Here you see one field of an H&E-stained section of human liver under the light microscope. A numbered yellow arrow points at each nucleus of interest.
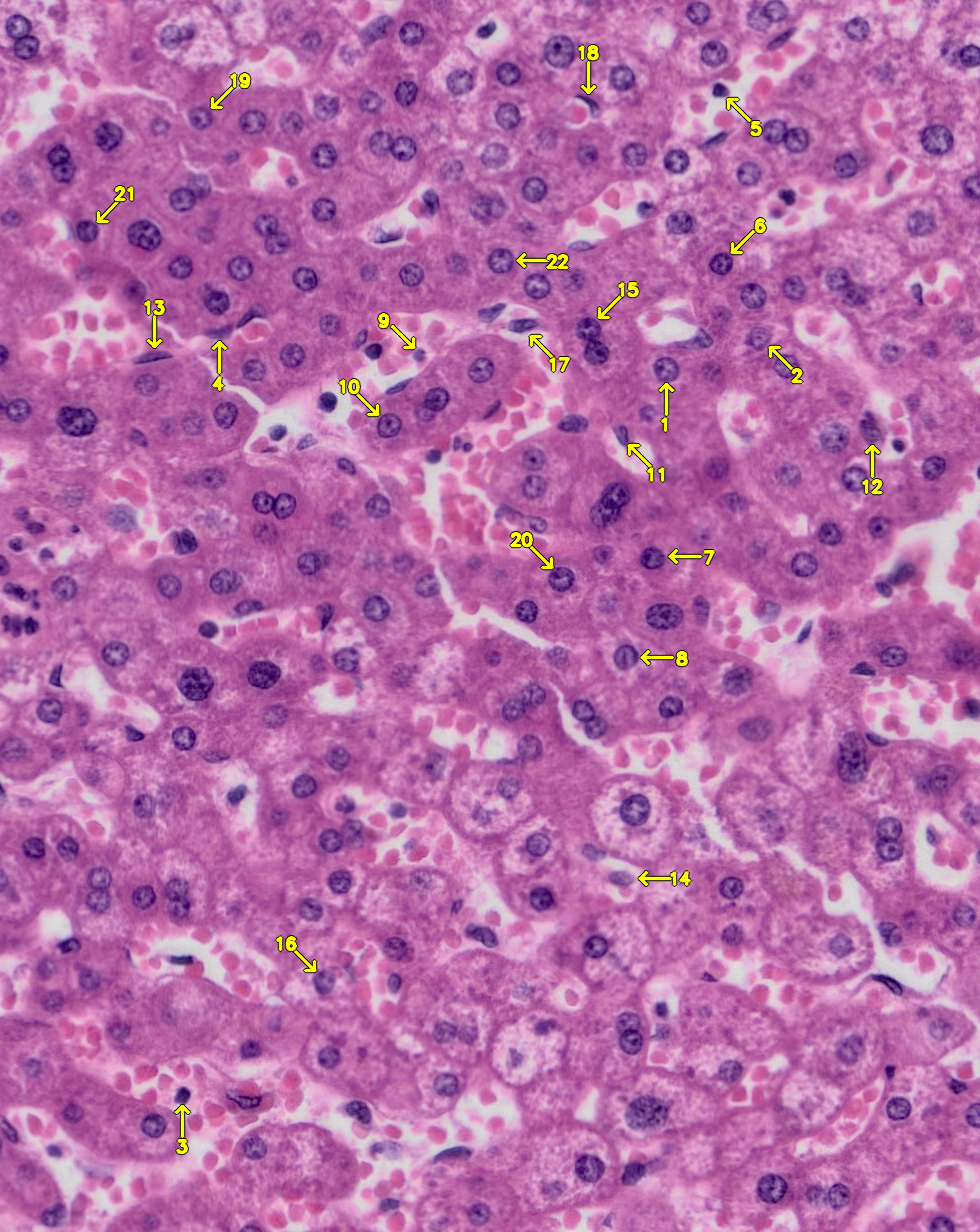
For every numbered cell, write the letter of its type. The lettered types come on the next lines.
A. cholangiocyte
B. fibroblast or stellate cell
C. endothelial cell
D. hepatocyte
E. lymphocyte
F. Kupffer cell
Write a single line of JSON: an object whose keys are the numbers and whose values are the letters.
{"1": "D", "2": "D", "3": "E", "4": "B", "5": "E", "6": "D", "7": "D", "8": "D", "9": "E", "10": "D", "11": "F", "12": "F", "13": "B", "14": "F", "15": "D", "16": "D", "17": "F", "18": "C", "19": "D", "20": "D", "21": "D", "22": "D"}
